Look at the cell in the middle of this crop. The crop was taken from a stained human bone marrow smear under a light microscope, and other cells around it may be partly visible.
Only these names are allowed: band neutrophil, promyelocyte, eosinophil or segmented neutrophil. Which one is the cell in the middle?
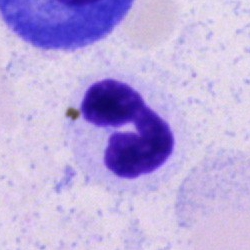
segmented neutrophil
